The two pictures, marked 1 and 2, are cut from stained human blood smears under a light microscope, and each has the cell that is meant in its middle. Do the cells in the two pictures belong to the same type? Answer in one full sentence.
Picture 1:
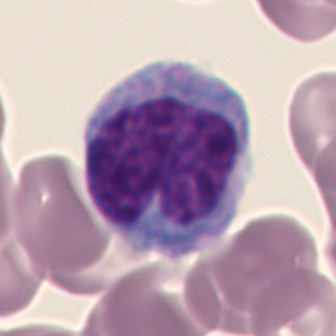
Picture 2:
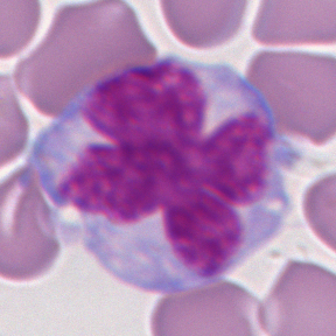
Yes; the cells in both pictures are monocytes.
